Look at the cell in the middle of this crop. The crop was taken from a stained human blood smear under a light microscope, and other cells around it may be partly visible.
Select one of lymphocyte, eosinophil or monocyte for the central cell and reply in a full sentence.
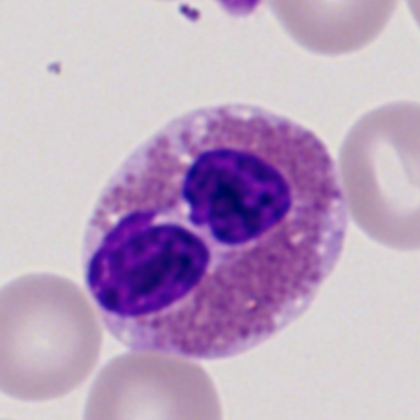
What sits at the centre of this crop is an eosinophil.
